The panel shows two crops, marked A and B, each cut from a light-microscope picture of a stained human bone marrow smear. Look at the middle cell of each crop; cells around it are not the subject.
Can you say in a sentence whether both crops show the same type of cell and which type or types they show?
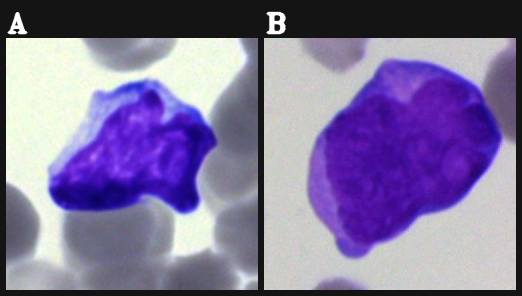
Yes, in the two crops, blasts are the cells at the centre.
